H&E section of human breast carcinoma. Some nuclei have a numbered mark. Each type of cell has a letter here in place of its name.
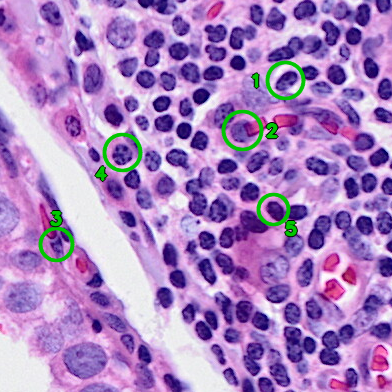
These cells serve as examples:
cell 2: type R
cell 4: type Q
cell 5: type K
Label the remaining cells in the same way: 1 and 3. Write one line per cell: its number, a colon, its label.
1: type K
3: type R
